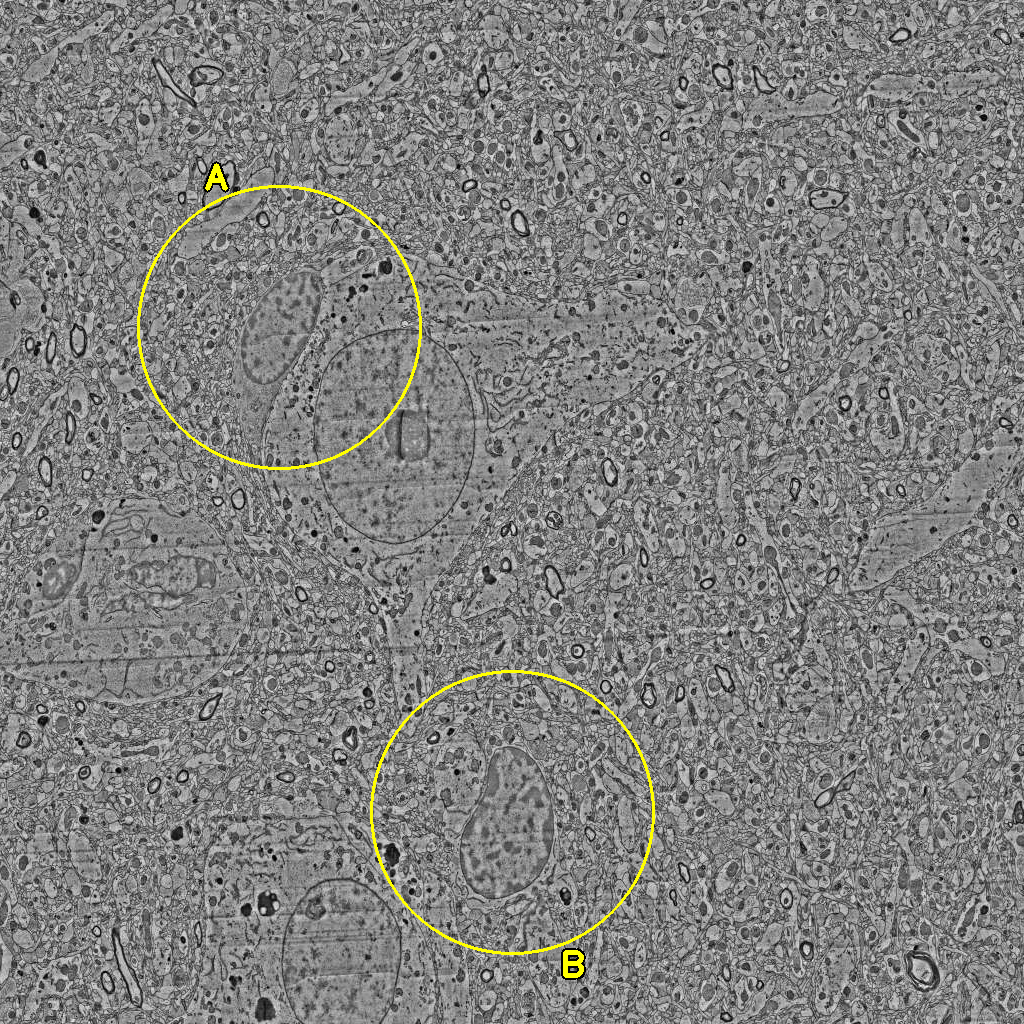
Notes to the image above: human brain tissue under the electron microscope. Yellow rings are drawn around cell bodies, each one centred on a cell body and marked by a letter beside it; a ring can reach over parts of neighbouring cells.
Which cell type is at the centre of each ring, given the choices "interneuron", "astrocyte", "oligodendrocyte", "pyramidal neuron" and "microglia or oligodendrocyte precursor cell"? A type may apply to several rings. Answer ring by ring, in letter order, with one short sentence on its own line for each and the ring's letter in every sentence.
Inside ring A, at its centre, is an oligodendrocyte.
Inside ring B, at its centre, is a microglial cell or oligodendrocyte precursor cell.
